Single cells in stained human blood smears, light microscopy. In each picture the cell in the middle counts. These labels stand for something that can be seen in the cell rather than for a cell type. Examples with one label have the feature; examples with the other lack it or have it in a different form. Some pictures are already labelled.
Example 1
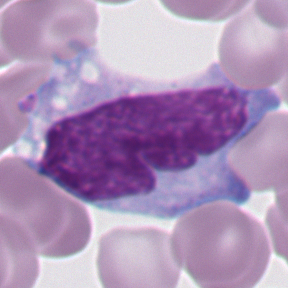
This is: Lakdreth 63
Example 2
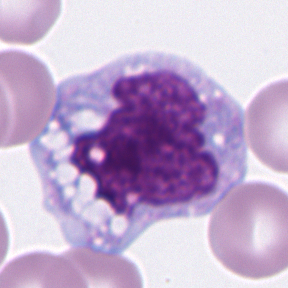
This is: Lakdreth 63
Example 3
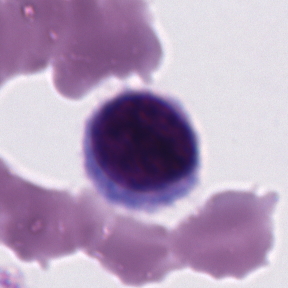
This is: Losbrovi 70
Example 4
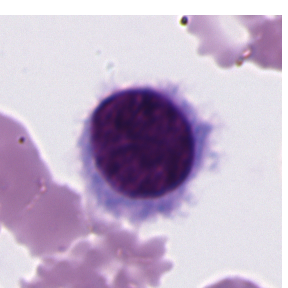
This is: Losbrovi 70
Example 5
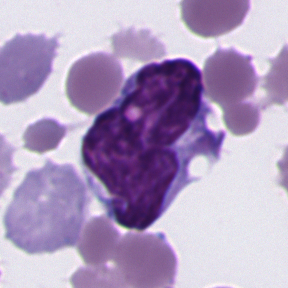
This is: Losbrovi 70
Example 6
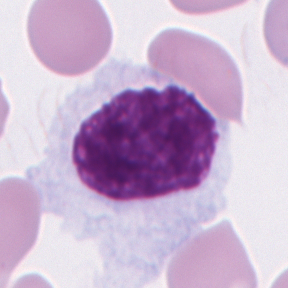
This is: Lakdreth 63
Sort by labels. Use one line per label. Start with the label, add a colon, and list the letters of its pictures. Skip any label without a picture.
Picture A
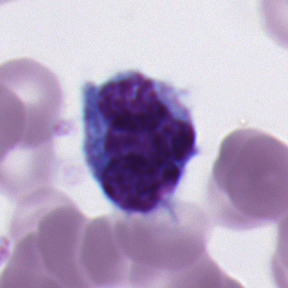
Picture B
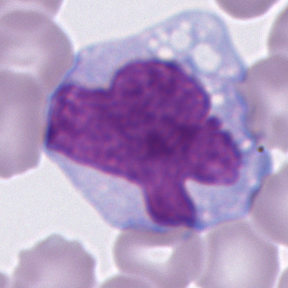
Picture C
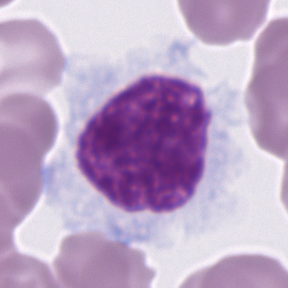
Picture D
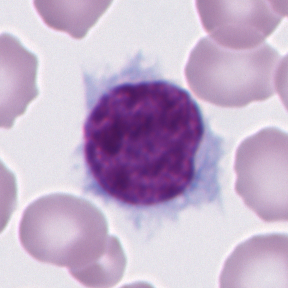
Lakdreth 63: B, C
Losbrovi 70: A, D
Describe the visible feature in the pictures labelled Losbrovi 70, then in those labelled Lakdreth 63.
Losbrovi 70, scant cytoplasm; Lakdreth 63, abundant cytoplasm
